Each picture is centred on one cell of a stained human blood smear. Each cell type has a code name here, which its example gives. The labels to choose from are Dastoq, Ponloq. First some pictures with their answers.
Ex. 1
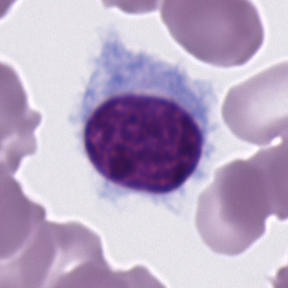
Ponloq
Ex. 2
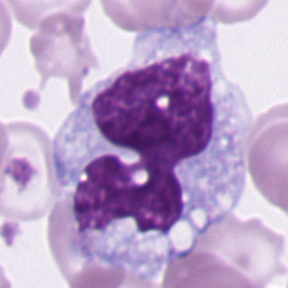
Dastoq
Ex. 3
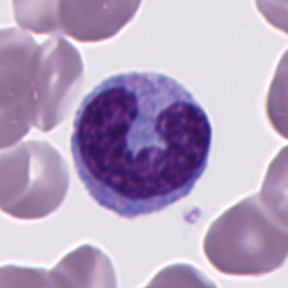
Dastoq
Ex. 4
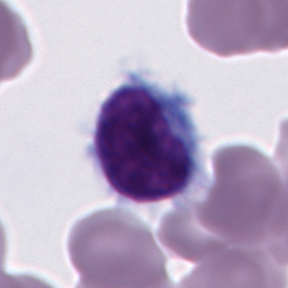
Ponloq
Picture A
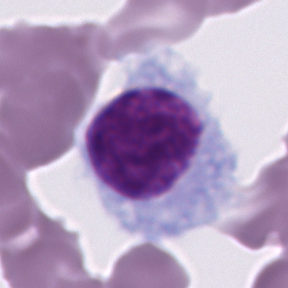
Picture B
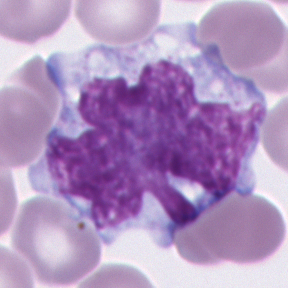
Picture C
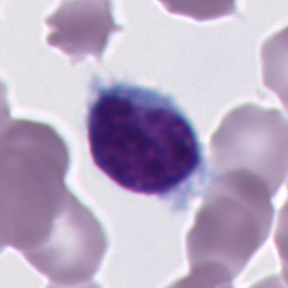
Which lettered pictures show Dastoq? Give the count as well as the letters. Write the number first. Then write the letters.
1, namely B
